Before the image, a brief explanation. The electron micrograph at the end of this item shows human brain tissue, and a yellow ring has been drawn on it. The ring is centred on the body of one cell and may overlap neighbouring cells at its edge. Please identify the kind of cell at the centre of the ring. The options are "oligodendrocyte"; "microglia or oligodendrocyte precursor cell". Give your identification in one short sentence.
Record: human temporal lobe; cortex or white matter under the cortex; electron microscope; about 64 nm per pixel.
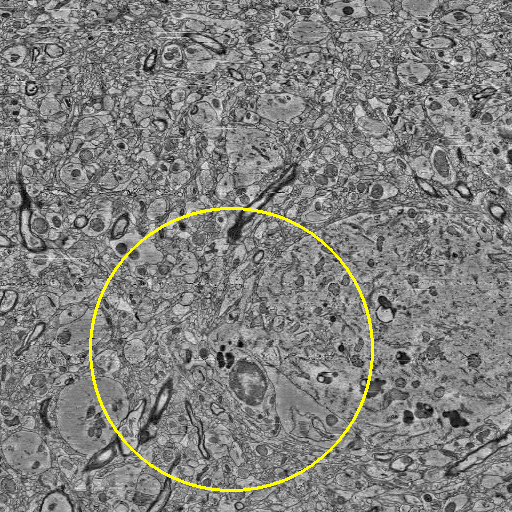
The ring has been placed around a microglial cell or oligodendrocyte precursor cell.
